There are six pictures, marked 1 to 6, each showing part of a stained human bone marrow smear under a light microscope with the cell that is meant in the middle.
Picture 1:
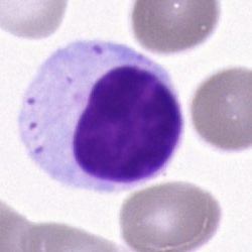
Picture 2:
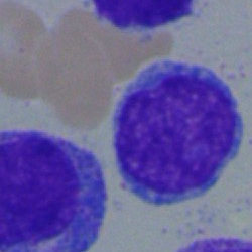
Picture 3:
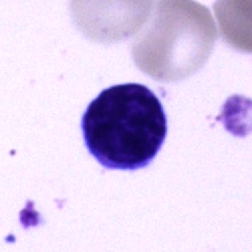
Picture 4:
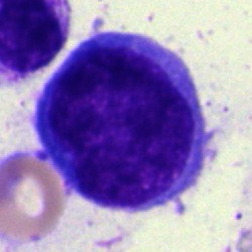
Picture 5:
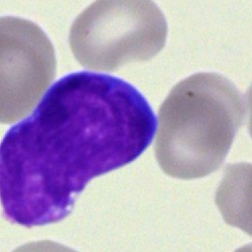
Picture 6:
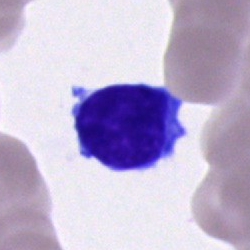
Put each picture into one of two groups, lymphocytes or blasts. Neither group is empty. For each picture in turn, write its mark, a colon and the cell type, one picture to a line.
1: lymphocyte
2: blast
3: lymphocyte
4: blast
5: blast
6: lymphocyte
